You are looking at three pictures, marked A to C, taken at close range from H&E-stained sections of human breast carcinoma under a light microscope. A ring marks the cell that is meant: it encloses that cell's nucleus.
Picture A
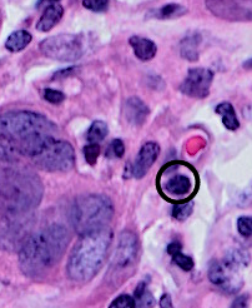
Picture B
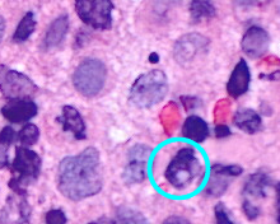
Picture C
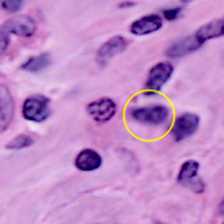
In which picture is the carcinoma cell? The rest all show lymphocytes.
B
